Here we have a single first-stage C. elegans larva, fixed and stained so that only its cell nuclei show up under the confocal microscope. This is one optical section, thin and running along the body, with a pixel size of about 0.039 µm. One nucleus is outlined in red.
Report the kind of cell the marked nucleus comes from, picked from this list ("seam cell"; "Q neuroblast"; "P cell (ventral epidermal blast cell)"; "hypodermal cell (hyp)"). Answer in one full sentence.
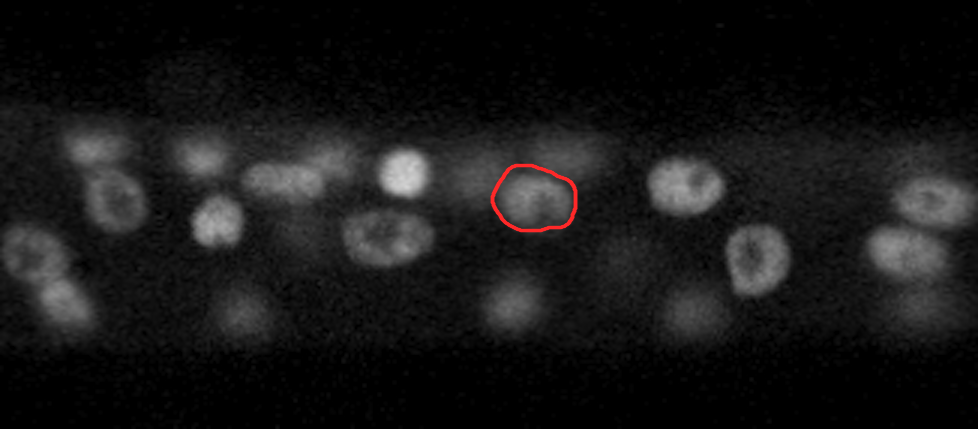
It is the nucleus of a seam cell.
